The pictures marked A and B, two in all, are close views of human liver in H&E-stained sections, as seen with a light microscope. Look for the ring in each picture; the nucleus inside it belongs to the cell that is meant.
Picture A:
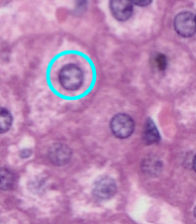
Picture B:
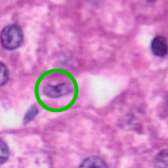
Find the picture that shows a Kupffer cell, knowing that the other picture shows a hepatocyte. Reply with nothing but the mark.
B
